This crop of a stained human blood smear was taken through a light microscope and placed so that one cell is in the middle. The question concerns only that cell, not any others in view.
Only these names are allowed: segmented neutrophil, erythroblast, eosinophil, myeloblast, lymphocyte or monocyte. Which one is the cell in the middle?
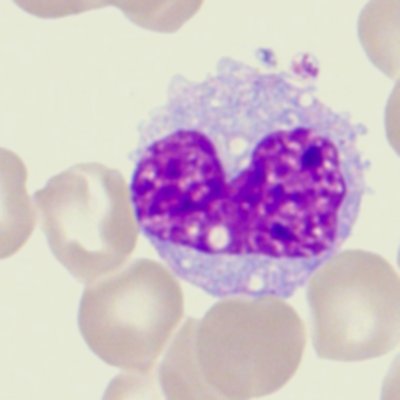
monocyte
